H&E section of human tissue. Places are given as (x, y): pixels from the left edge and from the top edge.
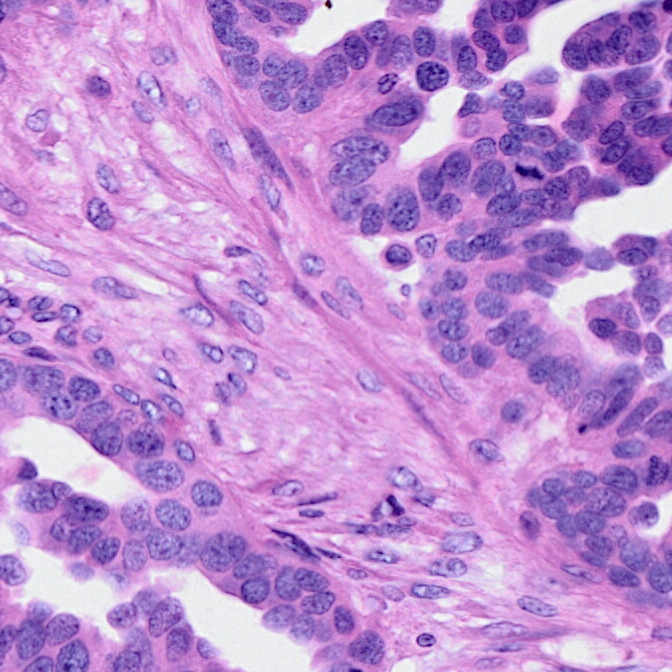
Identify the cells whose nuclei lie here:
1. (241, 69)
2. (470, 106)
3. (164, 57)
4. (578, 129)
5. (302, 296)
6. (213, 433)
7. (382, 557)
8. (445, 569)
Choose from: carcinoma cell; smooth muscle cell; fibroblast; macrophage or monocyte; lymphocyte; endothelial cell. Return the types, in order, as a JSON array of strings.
["carcinoma cell", "carcinoma cell", "fibroblast", "carcinoma cell", "fibroblast", "fibroblast", "fibroblast", "fibroblast"]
